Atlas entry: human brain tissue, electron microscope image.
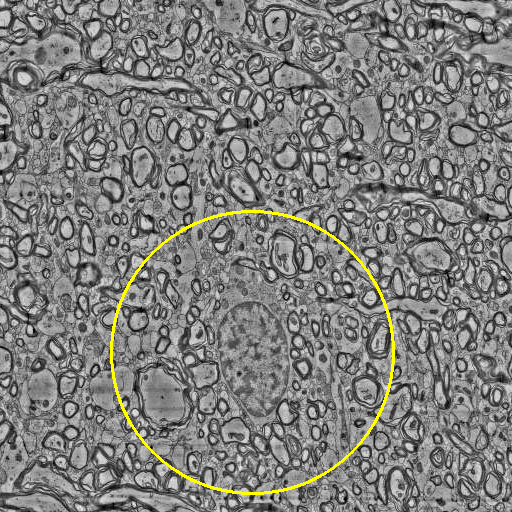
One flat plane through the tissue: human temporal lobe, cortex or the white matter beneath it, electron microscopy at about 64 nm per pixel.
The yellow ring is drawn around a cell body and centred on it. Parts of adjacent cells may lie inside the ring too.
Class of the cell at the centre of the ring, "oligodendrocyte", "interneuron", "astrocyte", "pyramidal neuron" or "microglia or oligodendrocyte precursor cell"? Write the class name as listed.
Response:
oligodendrocyte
